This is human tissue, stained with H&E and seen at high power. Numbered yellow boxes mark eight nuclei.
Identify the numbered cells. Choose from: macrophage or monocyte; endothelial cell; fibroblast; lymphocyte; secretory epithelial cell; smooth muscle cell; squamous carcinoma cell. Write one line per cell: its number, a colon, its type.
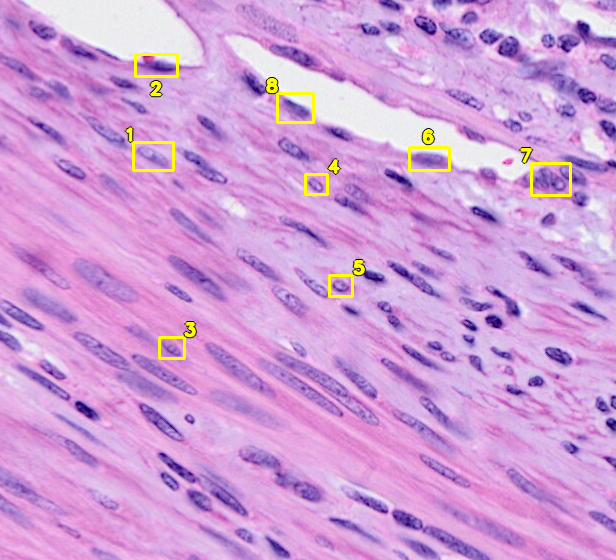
1: smooth muscle cell
2: endothelial cell
3: smooth muscle cell
4: smooth muscle cell
5: smooth muscle cell
6: endothelial cell
7: endothelial cell
8: endothelial cell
